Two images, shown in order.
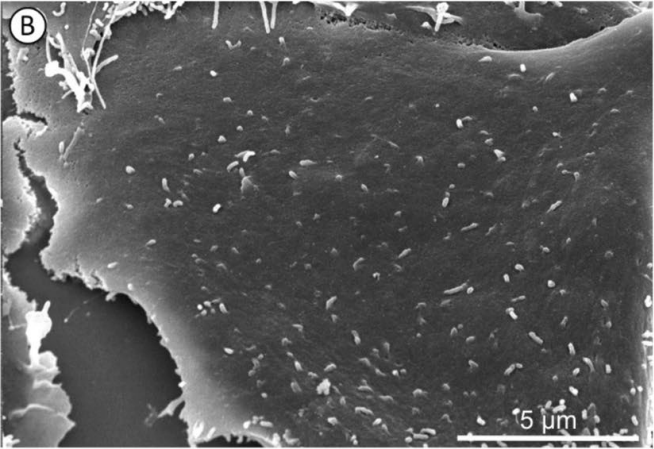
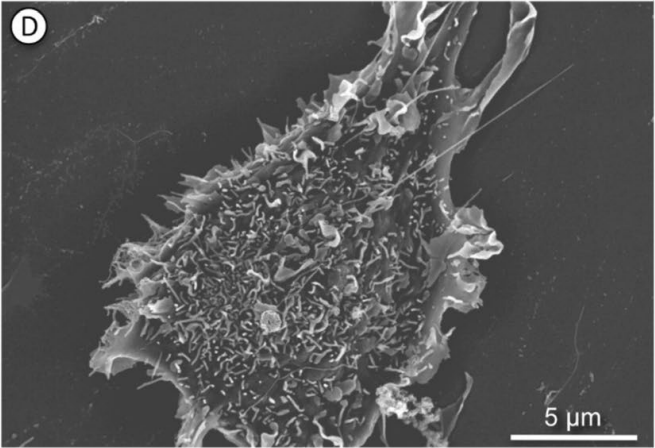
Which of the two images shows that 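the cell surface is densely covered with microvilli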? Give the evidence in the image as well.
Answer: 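Second image: the cell body is crowded with many short finger-like surface projections. First image: the flat cell surface carries only scattered small projections. On this evidence: the second image.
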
